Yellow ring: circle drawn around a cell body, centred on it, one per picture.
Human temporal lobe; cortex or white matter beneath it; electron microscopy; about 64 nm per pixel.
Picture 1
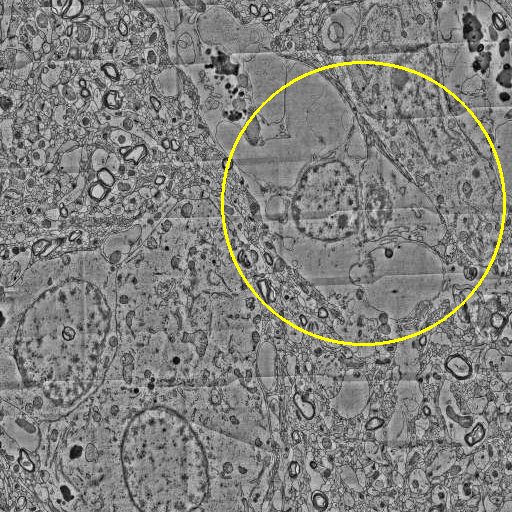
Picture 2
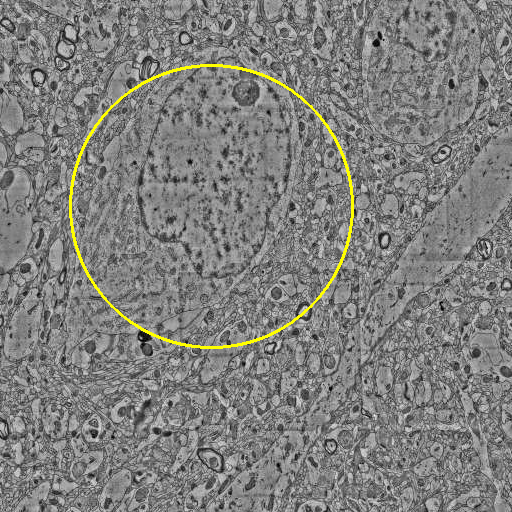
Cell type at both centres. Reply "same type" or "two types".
two types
